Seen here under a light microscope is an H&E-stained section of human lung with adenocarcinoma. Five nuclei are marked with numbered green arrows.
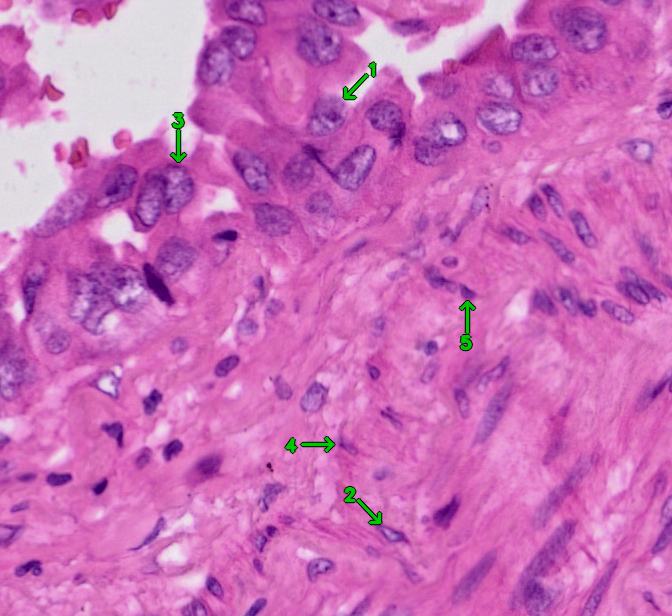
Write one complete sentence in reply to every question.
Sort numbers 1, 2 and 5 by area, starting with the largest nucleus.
By area, largest first, they run 1, 2, 5.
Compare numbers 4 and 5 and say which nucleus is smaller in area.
Number 5 is smaller, since number 4 takes up about 1.5 times as much area.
